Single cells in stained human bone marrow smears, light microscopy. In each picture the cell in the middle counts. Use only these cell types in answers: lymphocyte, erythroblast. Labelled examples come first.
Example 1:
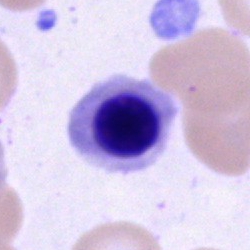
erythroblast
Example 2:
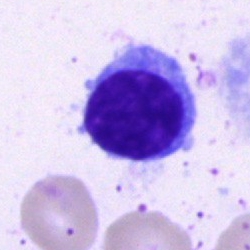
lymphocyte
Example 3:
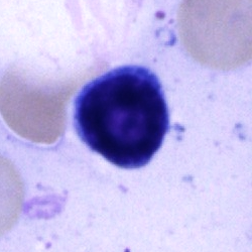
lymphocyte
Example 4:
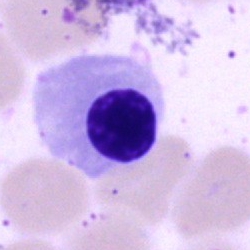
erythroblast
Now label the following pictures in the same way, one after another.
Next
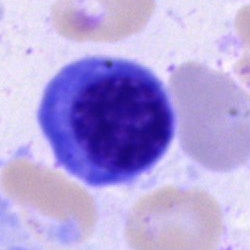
erythroblast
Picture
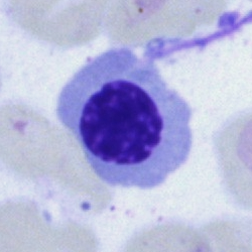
erythroblast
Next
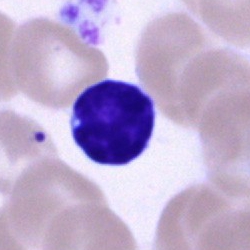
lymphocyte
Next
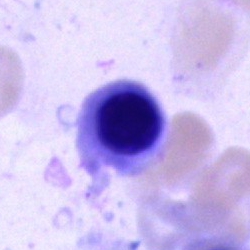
erythroblast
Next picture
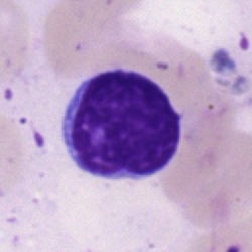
lymphocyte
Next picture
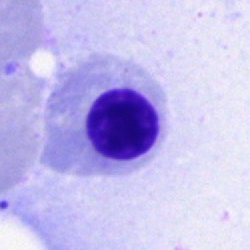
erythroblast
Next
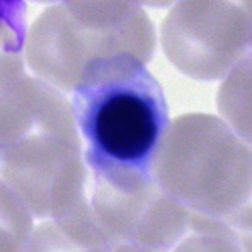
erythroblast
